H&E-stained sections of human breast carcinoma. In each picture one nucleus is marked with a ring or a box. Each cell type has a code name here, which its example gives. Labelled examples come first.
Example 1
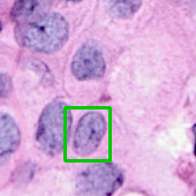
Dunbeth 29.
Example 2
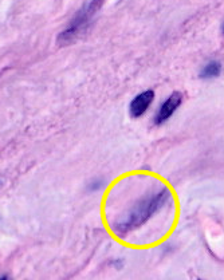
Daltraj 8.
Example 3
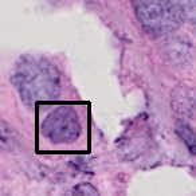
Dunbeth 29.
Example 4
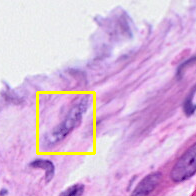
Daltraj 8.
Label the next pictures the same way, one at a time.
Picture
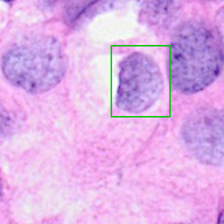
Dunbeth 29.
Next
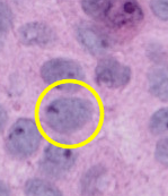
Dunbeth 29.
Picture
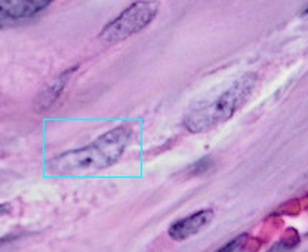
Daltraj 8.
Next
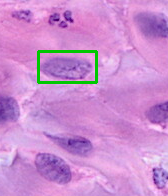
Daltraj 8.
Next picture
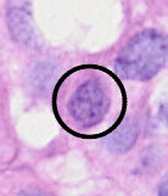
Dunbeth 29.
